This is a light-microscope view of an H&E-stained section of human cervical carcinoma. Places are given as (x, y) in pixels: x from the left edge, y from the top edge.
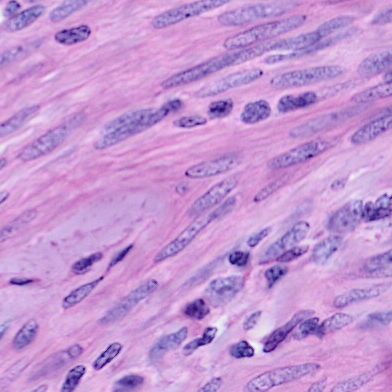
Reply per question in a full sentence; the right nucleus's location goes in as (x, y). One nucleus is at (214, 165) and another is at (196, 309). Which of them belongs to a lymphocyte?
Assigned to a lymphocyte is the nucleus located at (196, 309).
